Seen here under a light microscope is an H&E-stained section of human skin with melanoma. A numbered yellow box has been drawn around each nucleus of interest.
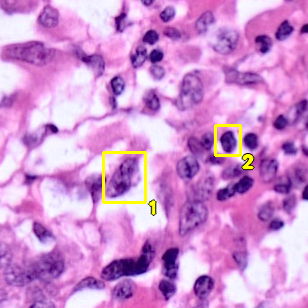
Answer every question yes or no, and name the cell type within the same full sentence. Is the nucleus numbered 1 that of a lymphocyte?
No, the cell under number 1 is a melanoma cell, not a lymphocyte.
